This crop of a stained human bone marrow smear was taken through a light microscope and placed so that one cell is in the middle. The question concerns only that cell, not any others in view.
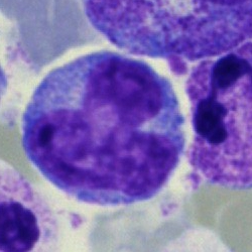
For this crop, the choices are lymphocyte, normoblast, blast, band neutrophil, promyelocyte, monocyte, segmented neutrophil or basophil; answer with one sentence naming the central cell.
In this smear crop, the middle cell is a monocyte.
